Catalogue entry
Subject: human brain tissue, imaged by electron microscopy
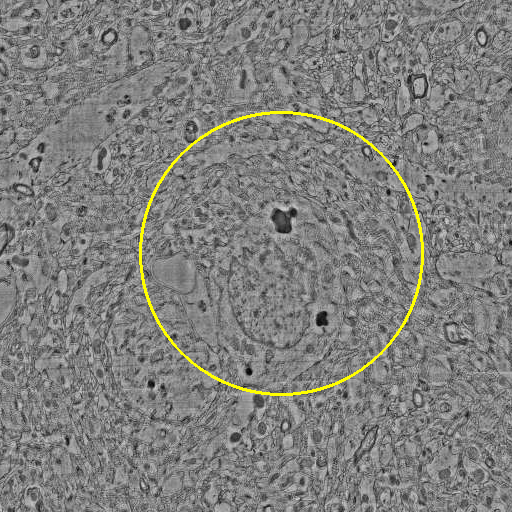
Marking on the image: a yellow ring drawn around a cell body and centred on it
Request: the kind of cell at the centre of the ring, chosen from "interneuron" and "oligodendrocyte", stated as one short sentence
The ring has an interneuron at its centre.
